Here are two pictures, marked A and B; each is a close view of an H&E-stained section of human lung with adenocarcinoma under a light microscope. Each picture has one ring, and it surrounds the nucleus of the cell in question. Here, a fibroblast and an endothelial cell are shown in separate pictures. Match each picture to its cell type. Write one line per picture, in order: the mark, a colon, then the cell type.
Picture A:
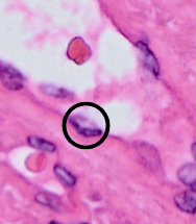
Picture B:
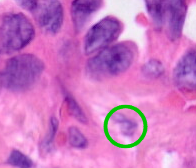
A: endothelial cell
B: fibroblast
